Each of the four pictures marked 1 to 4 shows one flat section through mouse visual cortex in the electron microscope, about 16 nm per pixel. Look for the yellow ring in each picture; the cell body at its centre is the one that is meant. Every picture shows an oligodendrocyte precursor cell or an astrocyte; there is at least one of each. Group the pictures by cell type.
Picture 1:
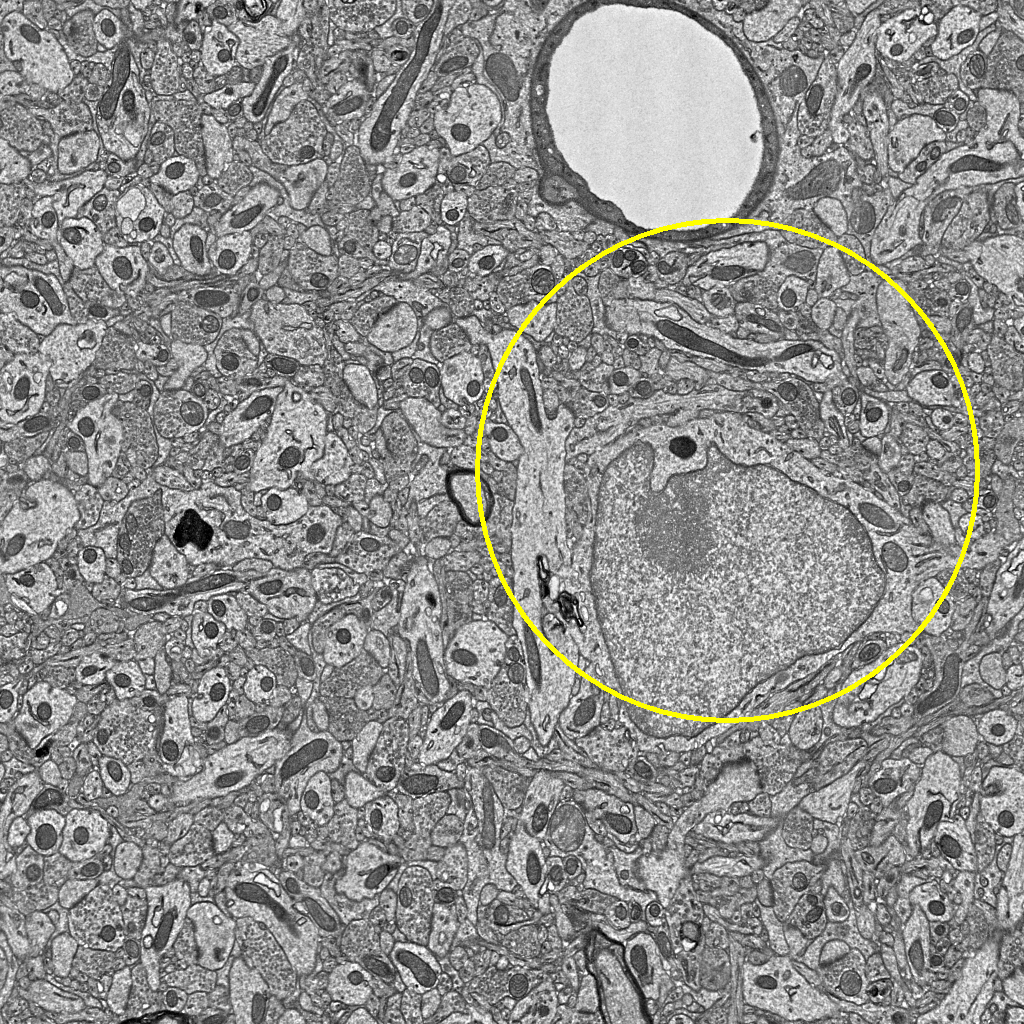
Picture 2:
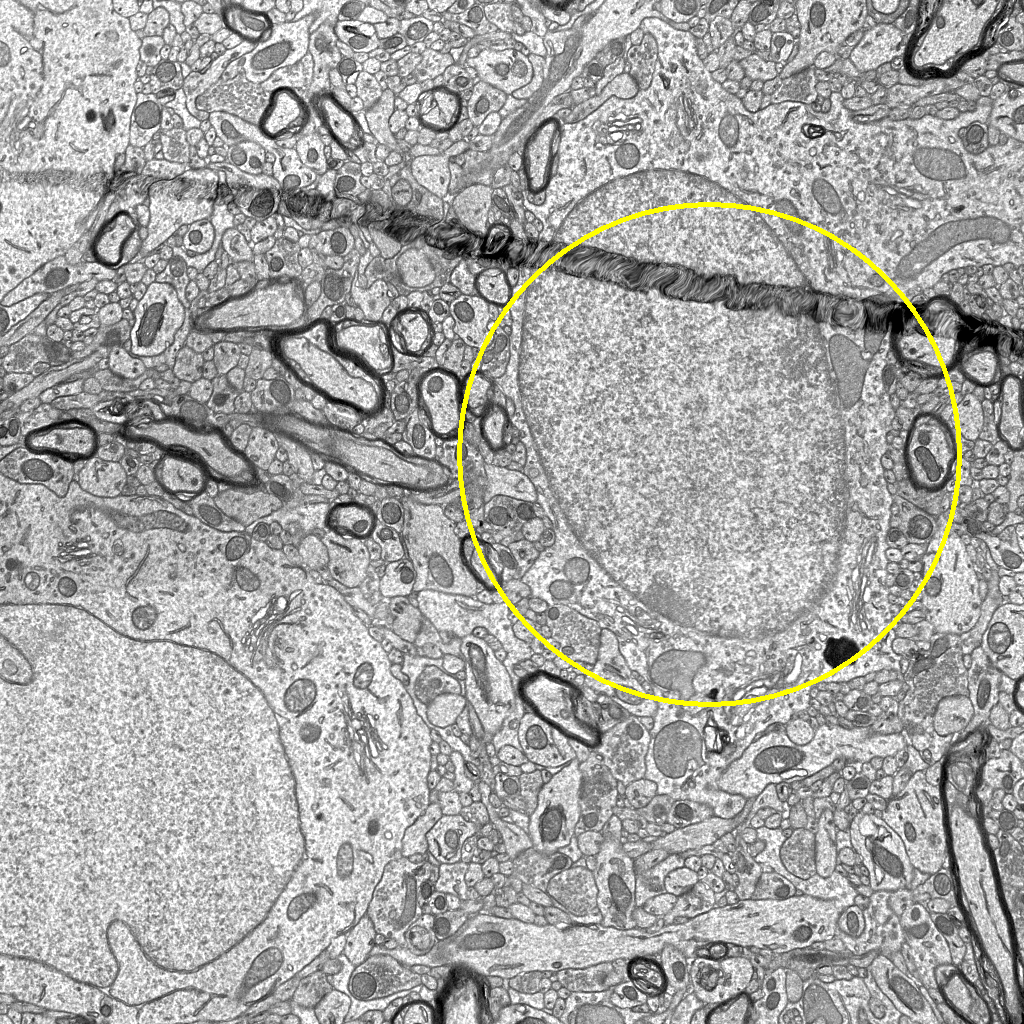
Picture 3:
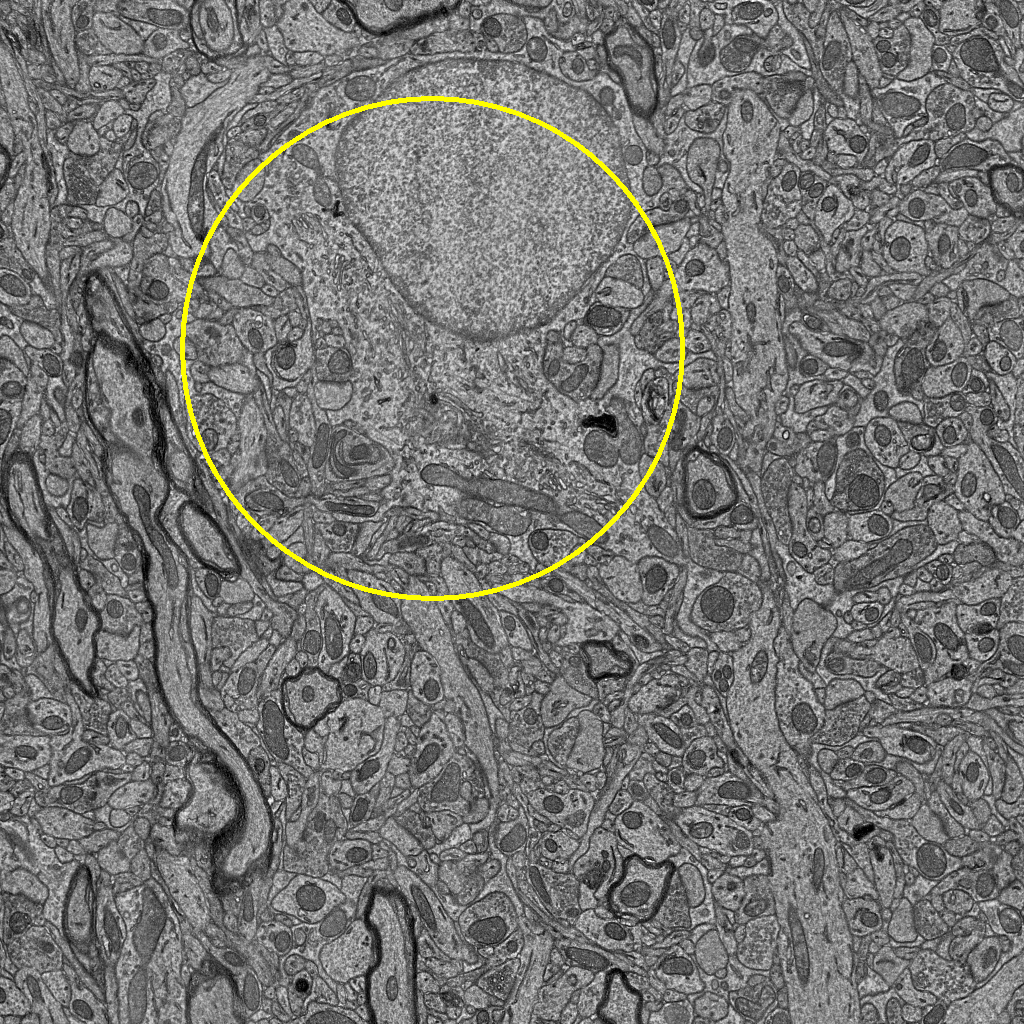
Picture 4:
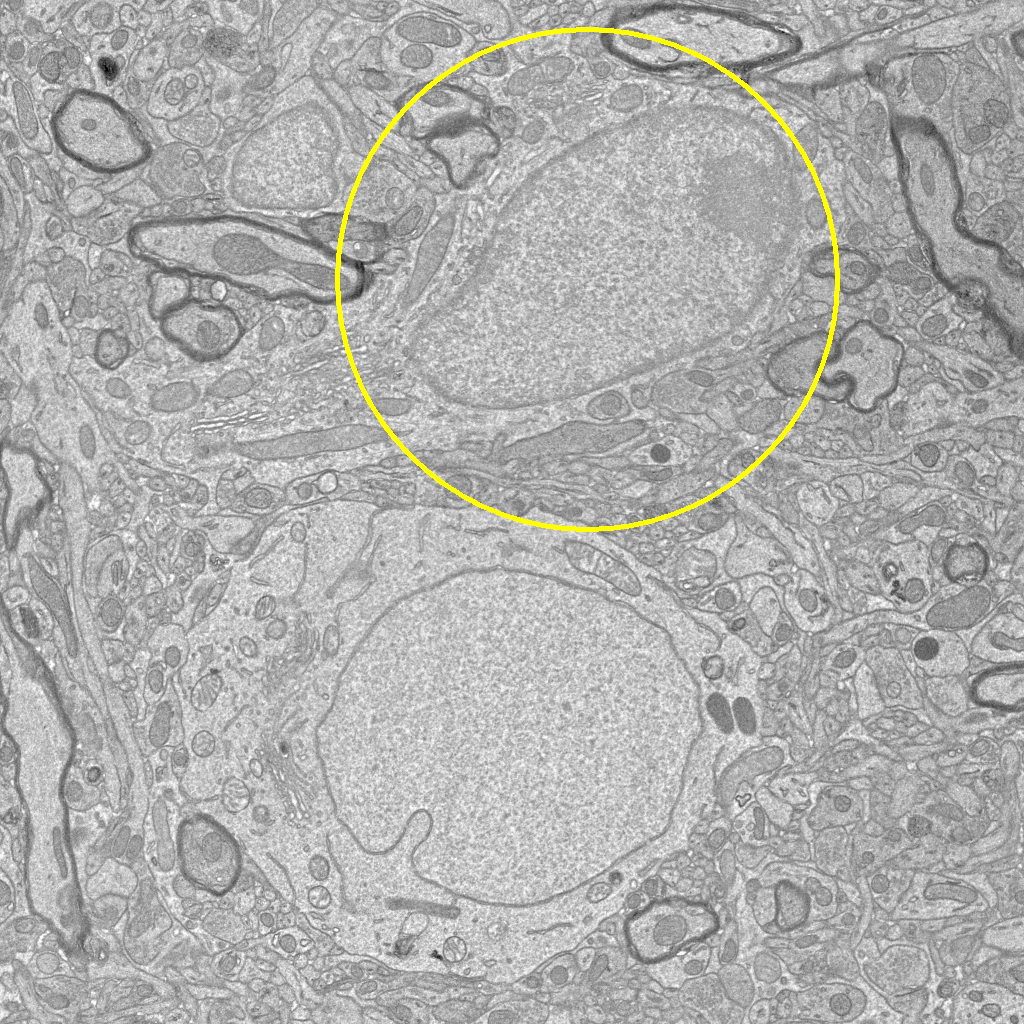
Picture 1 shows an oligodendrocyte precursor cell, and pictures 2, 3 and 4 show astrocytes.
